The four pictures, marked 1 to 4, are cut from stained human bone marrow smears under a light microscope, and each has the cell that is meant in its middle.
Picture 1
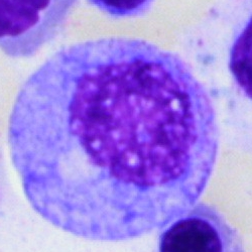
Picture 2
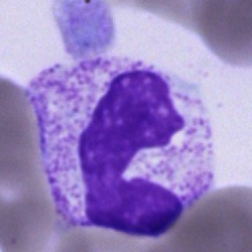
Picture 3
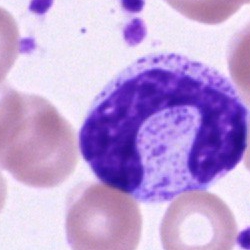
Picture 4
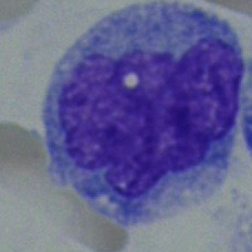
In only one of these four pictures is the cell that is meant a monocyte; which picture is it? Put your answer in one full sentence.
Picture 4 is the one that shows the monocyte.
